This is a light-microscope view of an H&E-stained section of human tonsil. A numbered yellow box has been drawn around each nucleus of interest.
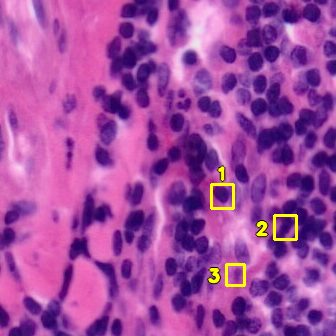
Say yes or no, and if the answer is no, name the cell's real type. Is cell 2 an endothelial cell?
No, it is a small lymphocyte.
